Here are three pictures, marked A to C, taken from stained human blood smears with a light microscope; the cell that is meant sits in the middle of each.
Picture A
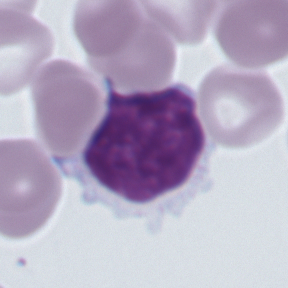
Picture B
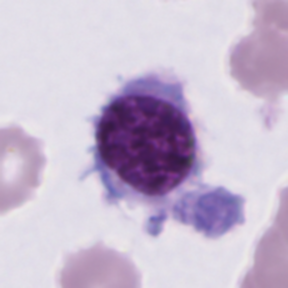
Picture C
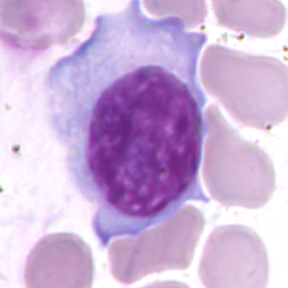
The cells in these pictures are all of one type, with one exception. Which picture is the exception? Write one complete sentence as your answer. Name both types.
Picture A differs, because its cell is a large granular lymphocyte and the rest are plasma cells.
